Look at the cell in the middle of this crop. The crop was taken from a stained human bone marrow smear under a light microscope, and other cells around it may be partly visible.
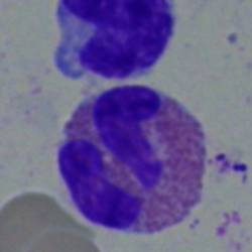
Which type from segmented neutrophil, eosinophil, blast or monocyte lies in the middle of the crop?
eosinophil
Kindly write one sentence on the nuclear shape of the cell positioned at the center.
Two or more lobes make up the nucleus of this cell.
